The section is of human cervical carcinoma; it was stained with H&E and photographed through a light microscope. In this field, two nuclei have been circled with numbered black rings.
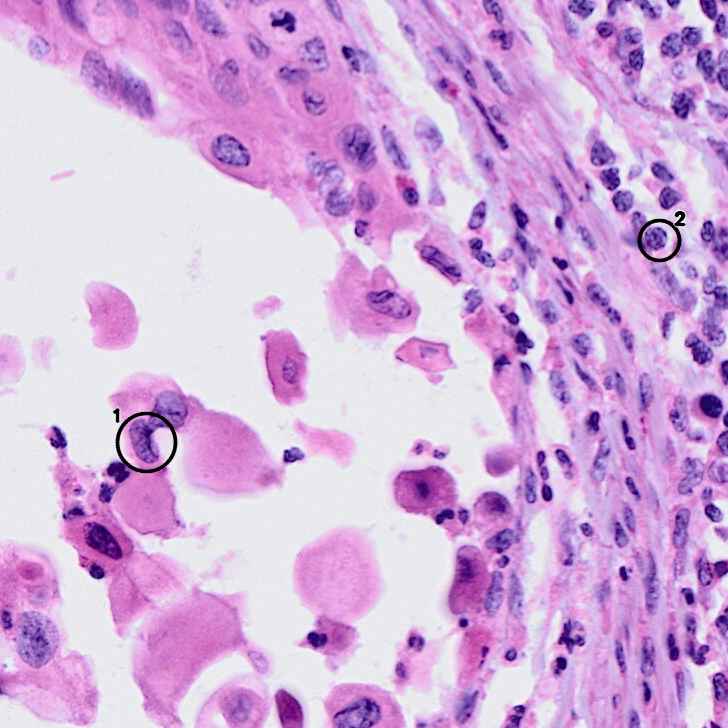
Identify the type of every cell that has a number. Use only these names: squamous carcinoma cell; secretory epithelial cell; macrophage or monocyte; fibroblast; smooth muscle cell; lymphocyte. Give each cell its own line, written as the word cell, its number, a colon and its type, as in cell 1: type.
cell 1: squamous carcinoma cell
cell 2: lymphocyte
